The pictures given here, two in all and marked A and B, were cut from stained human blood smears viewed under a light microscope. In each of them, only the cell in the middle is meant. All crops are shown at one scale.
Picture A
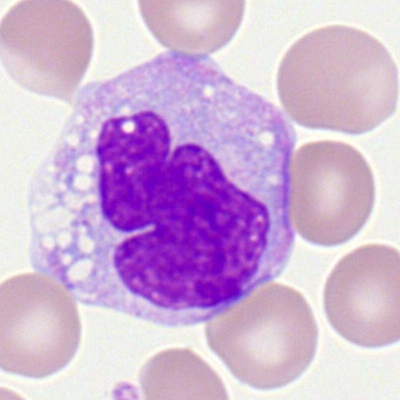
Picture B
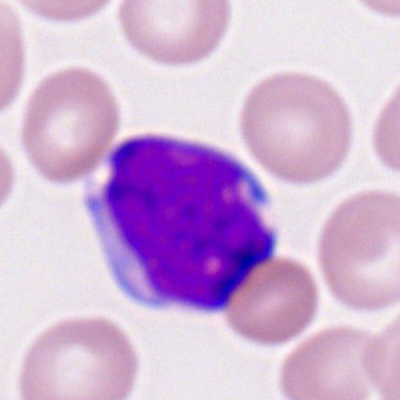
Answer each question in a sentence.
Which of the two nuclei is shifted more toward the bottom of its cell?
In picture A the nucleus is shifted more toward the bottom.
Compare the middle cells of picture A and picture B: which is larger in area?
The cell in picture A is larger, with about 1.5 times the area of the one in picture B.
